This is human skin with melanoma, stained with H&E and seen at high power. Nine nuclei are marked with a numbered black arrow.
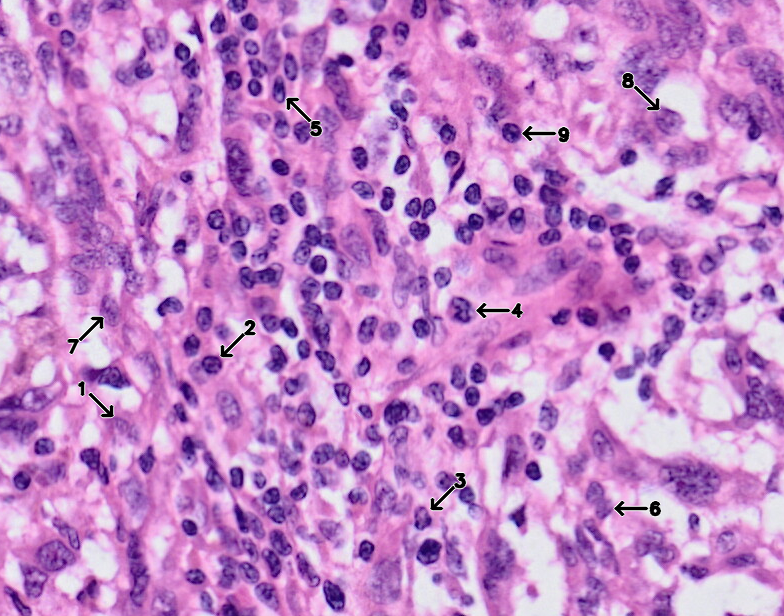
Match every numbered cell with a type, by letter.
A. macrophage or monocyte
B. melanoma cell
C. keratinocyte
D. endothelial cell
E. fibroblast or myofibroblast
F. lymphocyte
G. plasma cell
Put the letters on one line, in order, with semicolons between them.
B; G; F; G; F; B; B; B; G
